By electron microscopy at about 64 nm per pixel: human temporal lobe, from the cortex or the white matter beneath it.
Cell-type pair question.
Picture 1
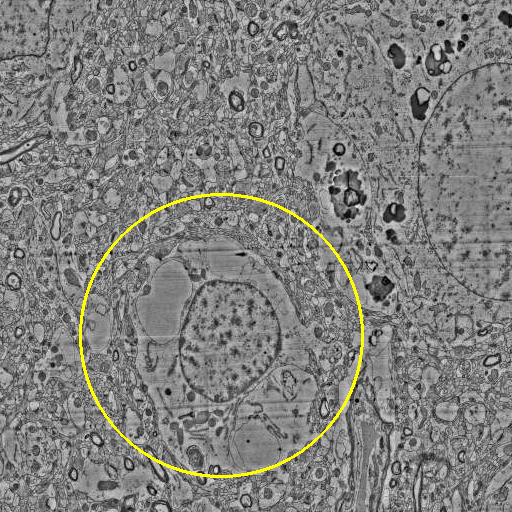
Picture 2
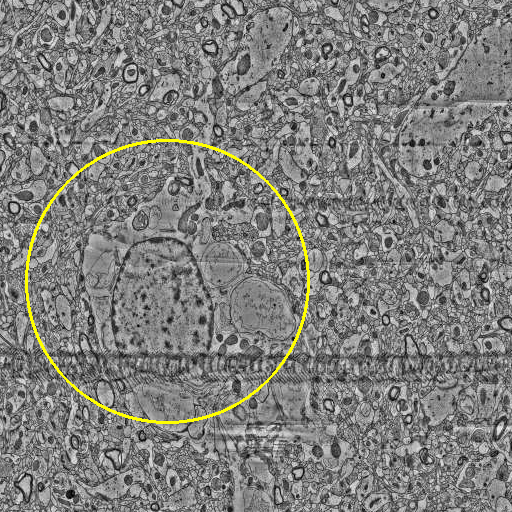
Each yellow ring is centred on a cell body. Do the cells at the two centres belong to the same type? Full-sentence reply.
Yes, the two cells belong to the same type.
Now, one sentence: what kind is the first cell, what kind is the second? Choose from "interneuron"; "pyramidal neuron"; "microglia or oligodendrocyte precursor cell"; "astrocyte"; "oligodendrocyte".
Each one of the two ringed cells is an astrocyte.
